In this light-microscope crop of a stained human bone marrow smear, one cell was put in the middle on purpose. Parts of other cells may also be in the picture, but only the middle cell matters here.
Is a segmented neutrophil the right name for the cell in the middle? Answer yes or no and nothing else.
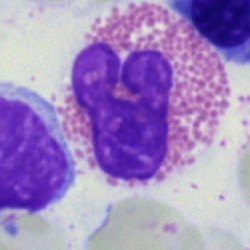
no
